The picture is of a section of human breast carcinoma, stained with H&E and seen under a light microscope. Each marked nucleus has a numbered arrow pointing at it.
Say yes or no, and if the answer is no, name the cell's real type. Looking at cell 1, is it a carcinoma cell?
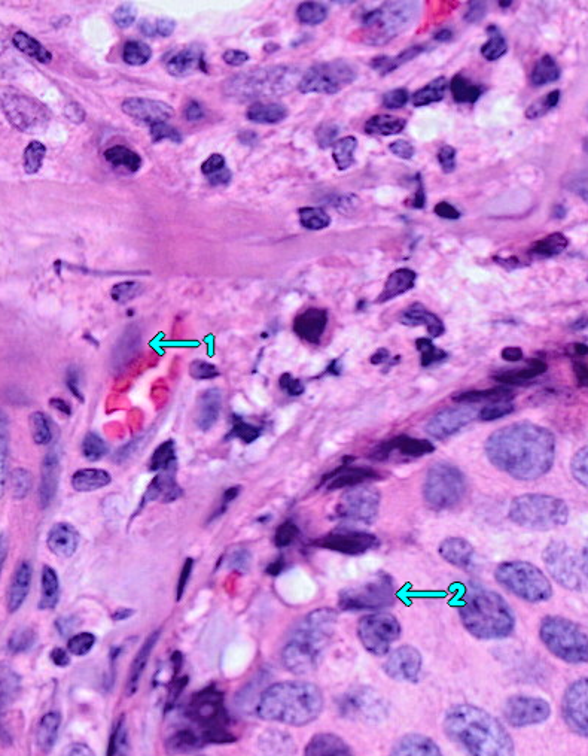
No, it is an endothelial cell.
